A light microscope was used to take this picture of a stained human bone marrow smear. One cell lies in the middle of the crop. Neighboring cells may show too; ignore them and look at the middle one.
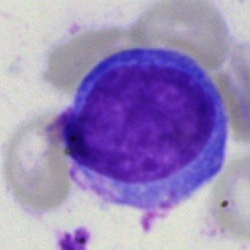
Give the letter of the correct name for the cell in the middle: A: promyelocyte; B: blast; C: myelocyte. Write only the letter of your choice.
B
